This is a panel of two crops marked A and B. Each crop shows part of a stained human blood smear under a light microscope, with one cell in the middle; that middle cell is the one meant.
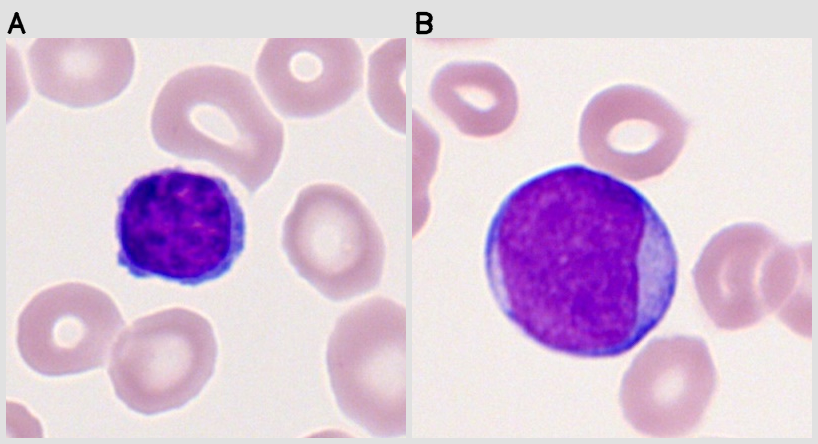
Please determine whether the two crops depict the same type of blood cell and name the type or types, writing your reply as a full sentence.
No, the assignment should read crop A, a lymphocyte; crop B, a blast.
